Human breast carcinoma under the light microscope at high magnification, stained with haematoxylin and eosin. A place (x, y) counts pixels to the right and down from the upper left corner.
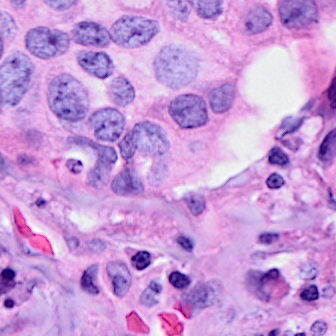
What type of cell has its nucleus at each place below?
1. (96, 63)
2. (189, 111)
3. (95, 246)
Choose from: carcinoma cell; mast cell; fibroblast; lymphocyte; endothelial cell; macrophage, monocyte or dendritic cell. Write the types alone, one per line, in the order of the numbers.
carcinoma cell
carcinoma cell
endothelial cell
